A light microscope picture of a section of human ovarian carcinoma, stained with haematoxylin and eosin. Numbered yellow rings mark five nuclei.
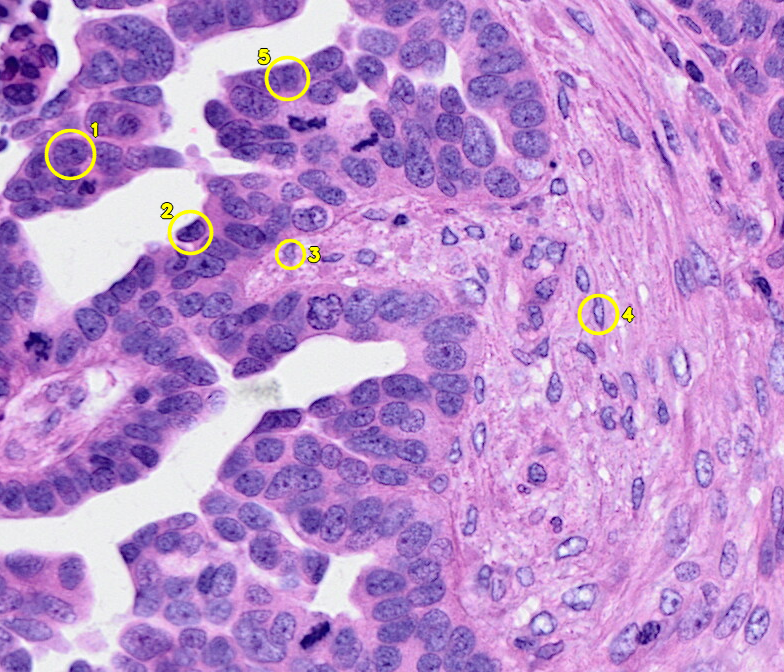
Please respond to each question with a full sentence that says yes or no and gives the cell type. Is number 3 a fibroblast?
Yes, the cell that number 3 points to is a fibroblast.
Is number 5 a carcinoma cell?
Yes, the cell corresponding to number 5 is a carcinoma cell.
